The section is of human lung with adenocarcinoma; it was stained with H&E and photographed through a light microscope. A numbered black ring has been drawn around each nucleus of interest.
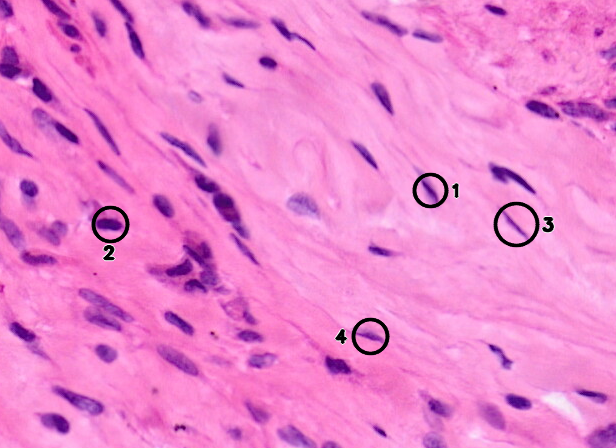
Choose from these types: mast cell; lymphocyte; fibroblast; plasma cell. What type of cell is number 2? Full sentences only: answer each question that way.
Cell 2 should be recorded as a plasma cell.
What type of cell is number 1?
The nucleus marked 1 is the nucleus of a fibroblast.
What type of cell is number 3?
Regarding cell 3, this one is a fibroblast.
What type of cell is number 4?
Marked with the number 4, this cell is a fibroblast.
